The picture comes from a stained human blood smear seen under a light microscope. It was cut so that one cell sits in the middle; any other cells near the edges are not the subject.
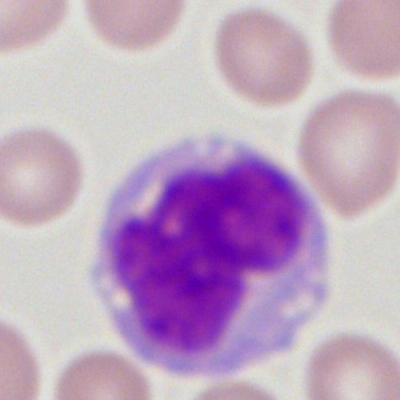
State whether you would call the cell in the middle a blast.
no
